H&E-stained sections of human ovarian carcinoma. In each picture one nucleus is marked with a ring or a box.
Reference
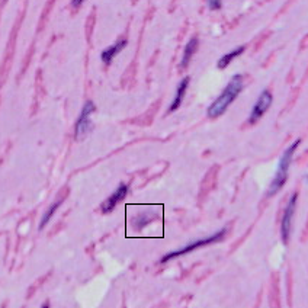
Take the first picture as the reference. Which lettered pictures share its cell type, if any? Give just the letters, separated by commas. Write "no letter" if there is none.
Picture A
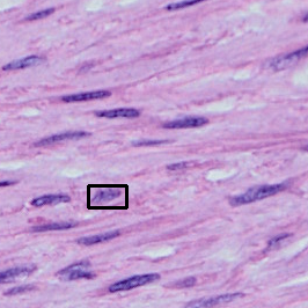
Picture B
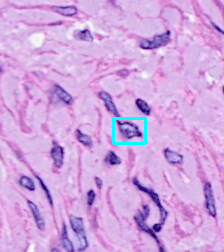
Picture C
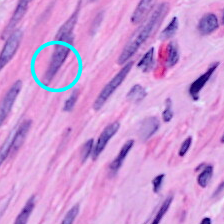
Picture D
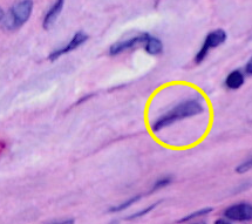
A, B, D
